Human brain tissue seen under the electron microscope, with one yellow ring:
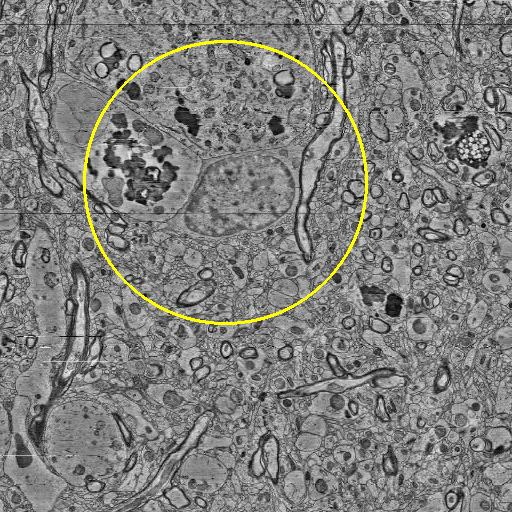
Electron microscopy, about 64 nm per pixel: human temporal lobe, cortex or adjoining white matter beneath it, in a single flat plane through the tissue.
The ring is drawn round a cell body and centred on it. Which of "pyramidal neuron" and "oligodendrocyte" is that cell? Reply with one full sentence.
The picture shows an oligodendrocyte at the very centre of the yellow ring.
